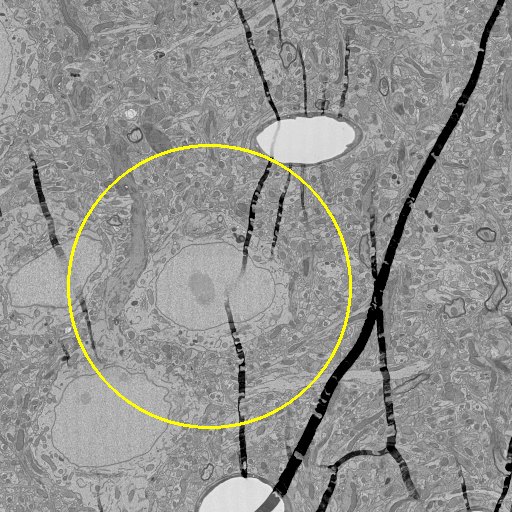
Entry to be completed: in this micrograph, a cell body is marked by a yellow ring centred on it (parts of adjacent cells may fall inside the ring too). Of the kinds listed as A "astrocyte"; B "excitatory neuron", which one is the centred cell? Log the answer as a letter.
B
